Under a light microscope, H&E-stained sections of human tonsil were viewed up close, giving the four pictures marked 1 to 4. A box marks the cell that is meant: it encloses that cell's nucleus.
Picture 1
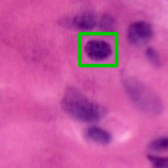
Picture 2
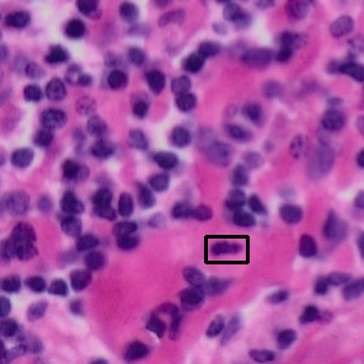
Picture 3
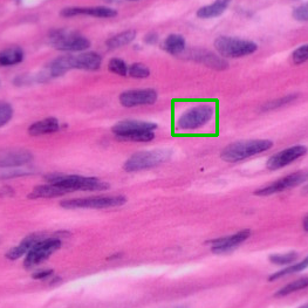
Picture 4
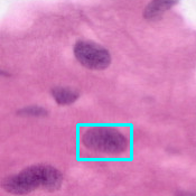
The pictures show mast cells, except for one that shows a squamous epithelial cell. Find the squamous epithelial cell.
4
